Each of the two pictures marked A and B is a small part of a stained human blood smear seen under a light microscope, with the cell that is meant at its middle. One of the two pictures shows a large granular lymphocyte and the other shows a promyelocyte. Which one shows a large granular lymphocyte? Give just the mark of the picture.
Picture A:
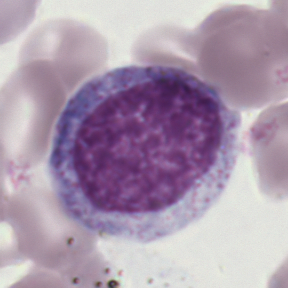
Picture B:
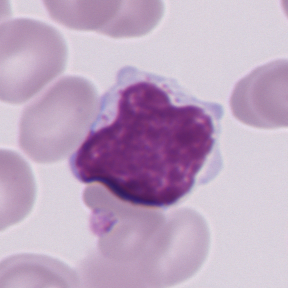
B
